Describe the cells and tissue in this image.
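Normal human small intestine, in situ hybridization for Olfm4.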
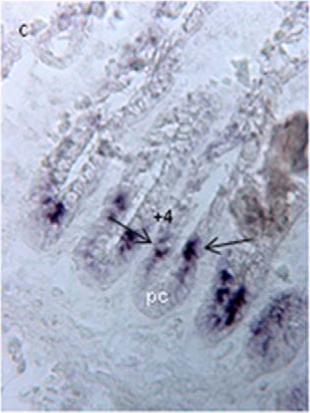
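Dark purple deposits sit in clusters of cells in the lower part of each crypt, a short distance above the crypt bottom. The very bottom of the crypts stays pale, and the upper parts of the crypts toward the surface are mostly unstained. The stroma between the crypts shows little colour, with some brownish tissue at the upper right edge.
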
